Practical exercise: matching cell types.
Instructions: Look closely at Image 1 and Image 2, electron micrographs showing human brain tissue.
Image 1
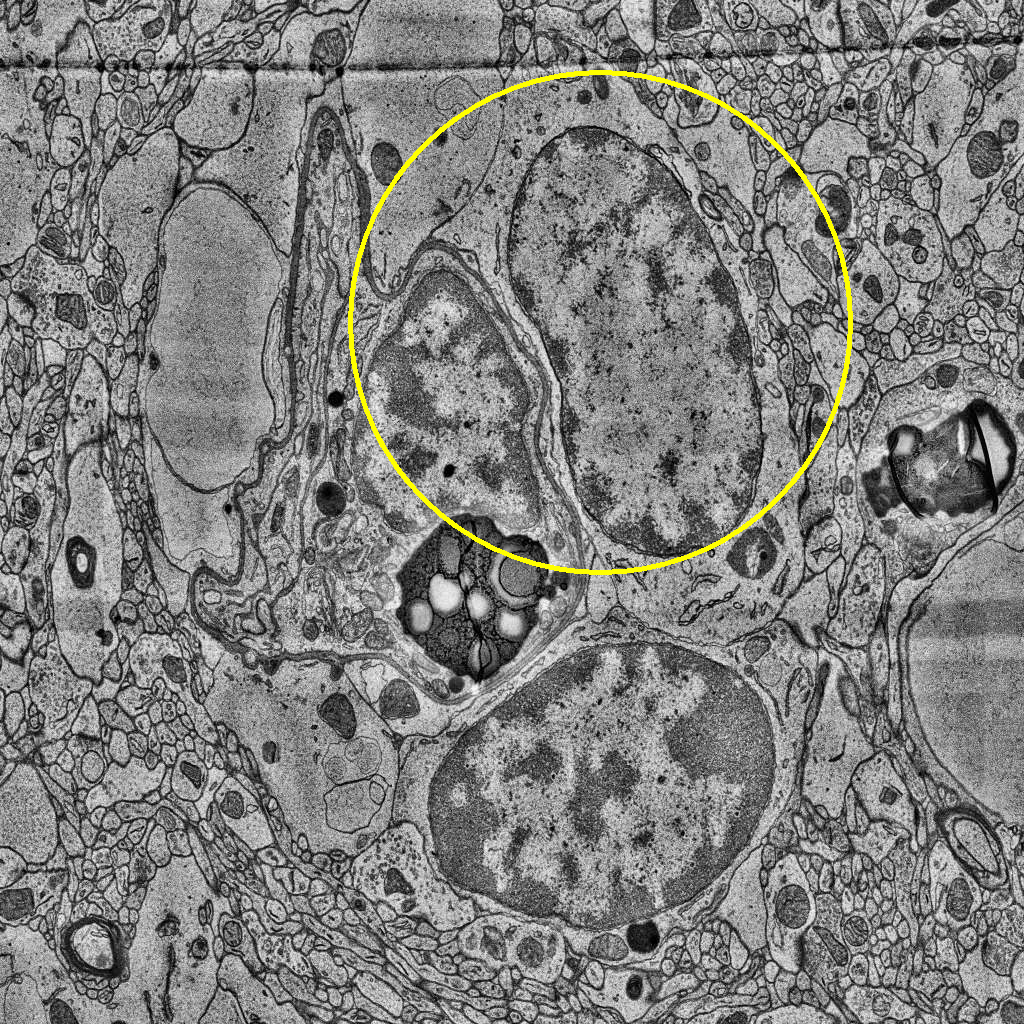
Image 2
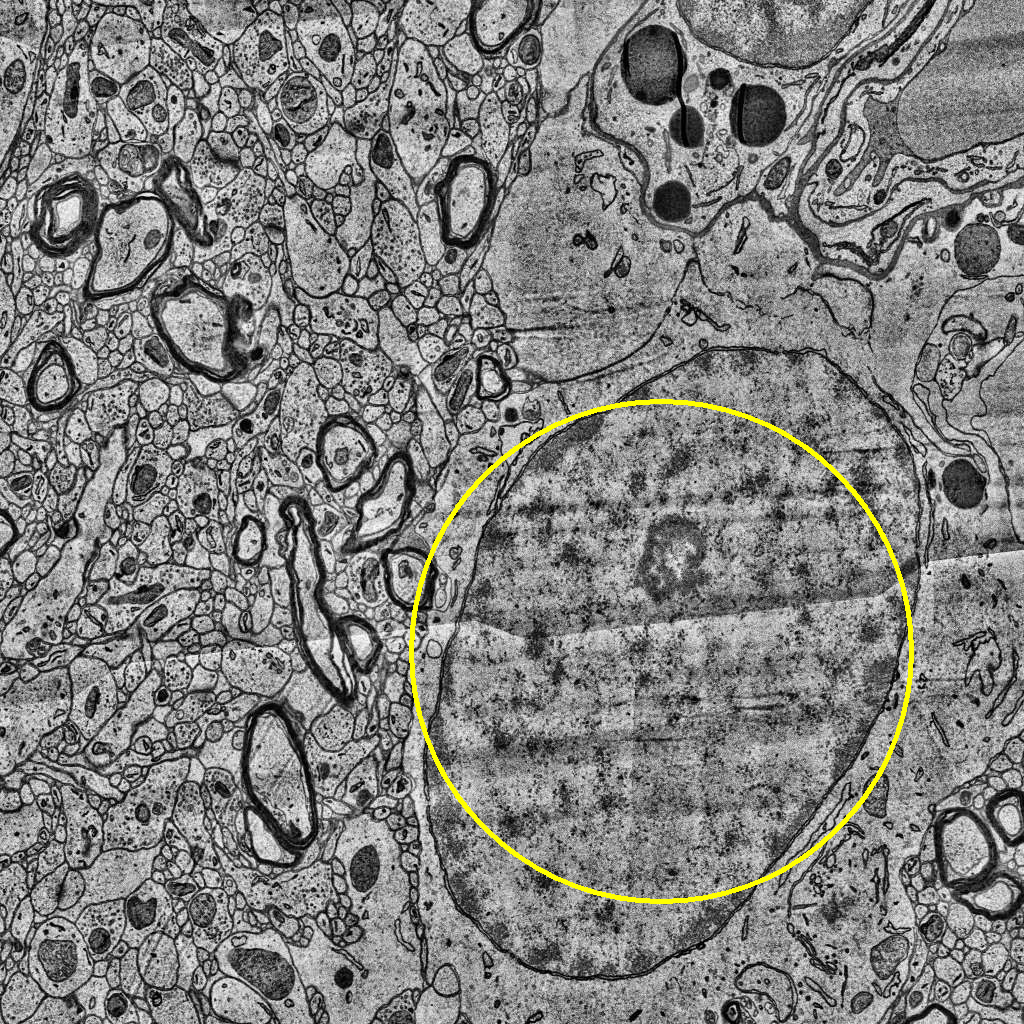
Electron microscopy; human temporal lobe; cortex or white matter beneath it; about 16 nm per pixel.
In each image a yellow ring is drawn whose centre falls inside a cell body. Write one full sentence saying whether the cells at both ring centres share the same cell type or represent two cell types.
Across Image 1 and Image 2, the cells at the ring centres share the same cell type.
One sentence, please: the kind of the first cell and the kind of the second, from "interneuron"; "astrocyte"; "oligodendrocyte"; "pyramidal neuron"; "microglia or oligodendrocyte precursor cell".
Both pictures show a microglial cell or oligodendrocyte precursor cell at the centre of the ring.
